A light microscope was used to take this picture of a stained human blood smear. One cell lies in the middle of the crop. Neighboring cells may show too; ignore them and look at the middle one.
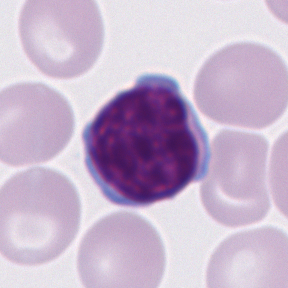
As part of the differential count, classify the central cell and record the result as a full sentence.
Here the cell in the middle is a typical lymphocyte.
